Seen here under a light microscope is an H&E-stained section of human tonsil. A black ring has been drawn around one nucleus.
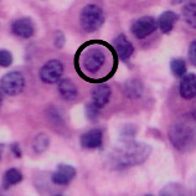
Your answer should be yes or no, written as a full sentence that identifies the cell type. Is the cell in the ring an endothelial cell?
No, an endothelial cell is not what the cell in the ring is; it is a plasma cell.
